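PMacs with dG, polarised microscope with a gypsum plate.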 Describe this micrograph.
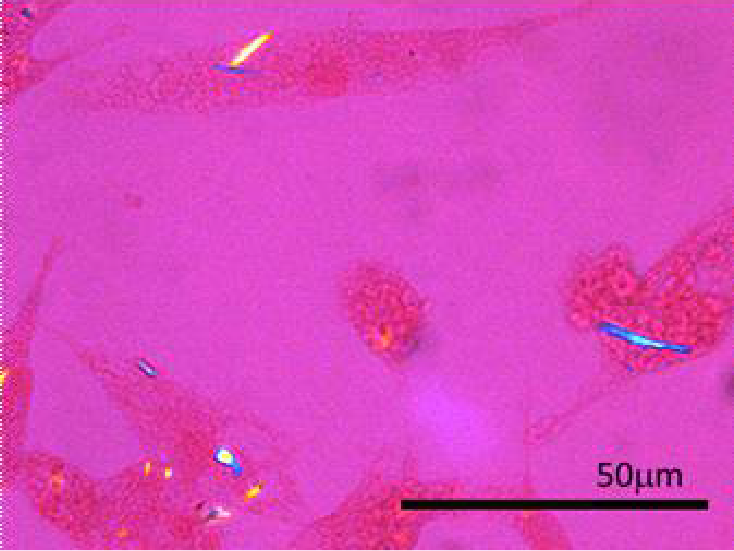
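The cells have rounded, granular red-pink cell bodies and thin spreading processes. Within some cells lie slender needles that shine bright blue or yellow-orange, the colours of birefringent crystals.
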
